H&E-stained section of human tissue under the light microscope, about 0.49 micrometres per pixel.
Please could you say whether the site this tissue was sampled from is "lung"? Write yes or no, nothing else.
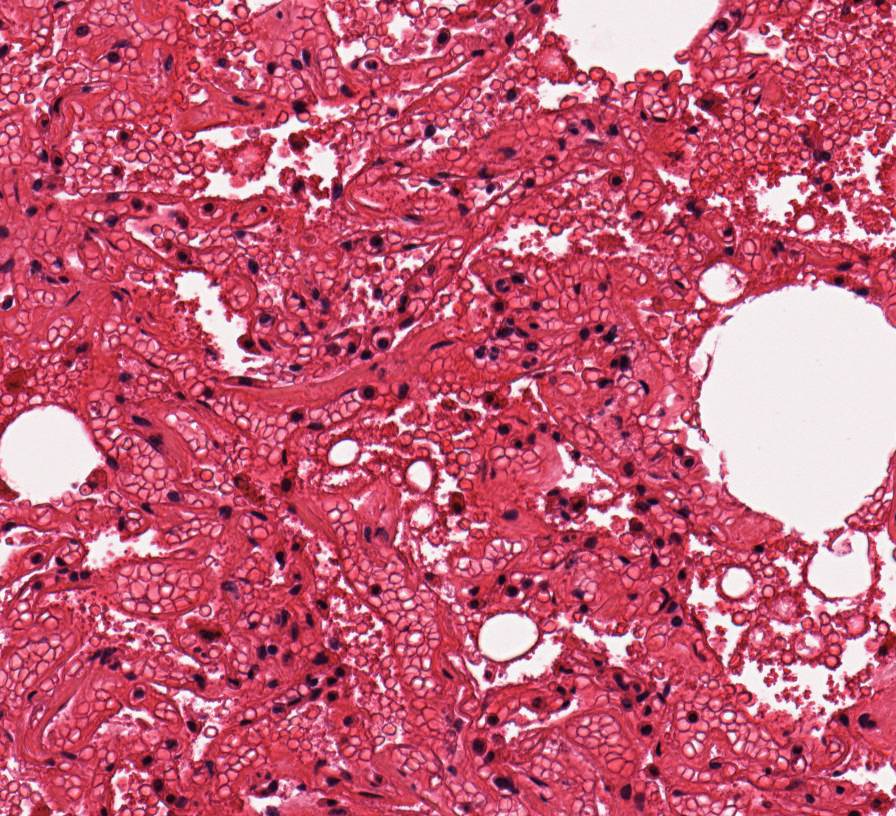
yes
